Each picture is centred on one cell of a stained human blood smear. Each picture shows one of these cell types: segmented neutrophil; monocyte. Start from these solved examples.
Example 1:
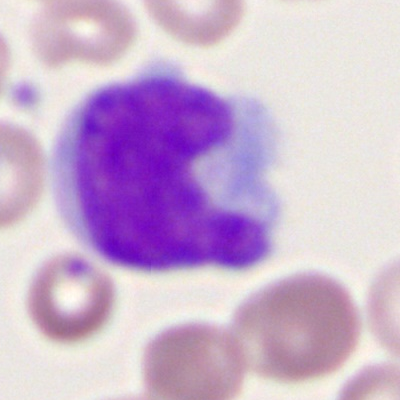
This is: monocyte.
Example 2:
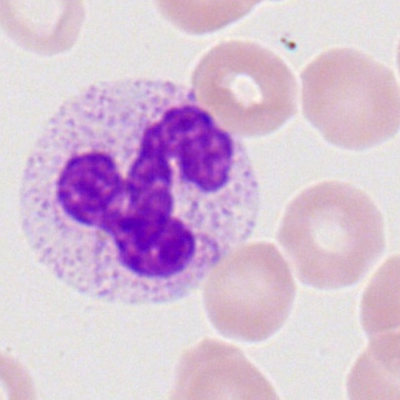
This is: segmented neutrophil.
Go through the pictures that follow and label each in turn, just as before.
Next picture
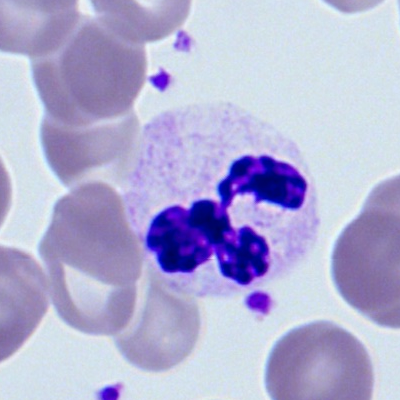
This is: segmented neutrophil.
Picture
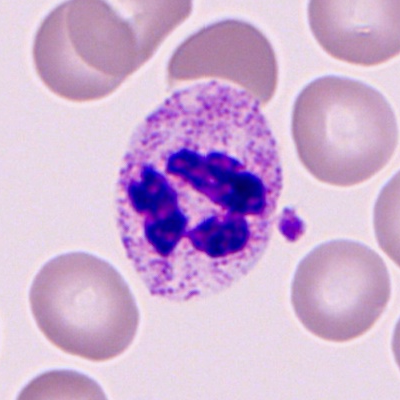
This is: segmented neutrophil.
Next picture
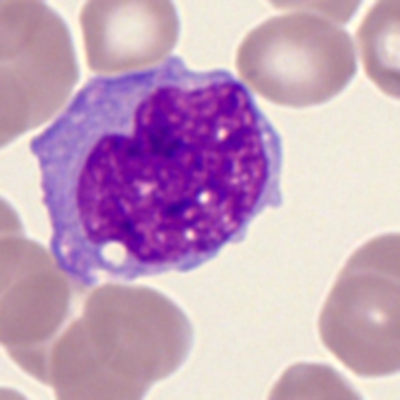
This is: monocyte.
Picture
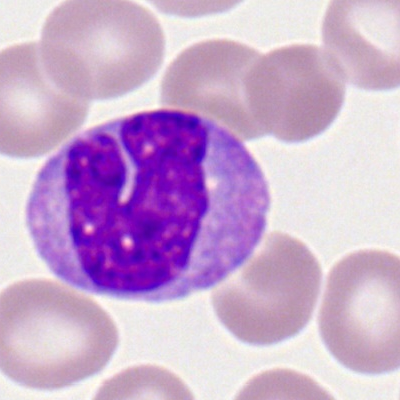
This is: monocyte.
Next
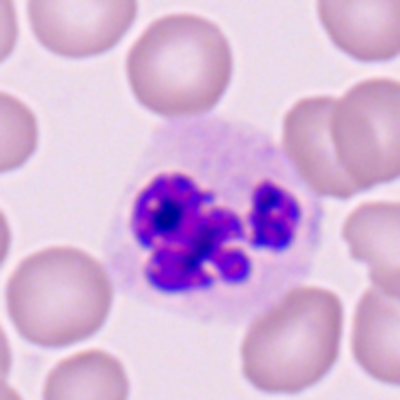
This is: segmented neutrophil.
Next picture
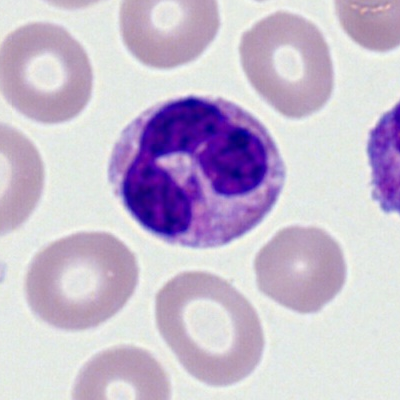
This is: segmented neutrophil.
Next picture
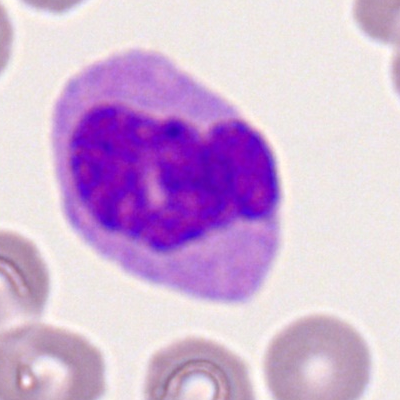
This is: monocyte.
